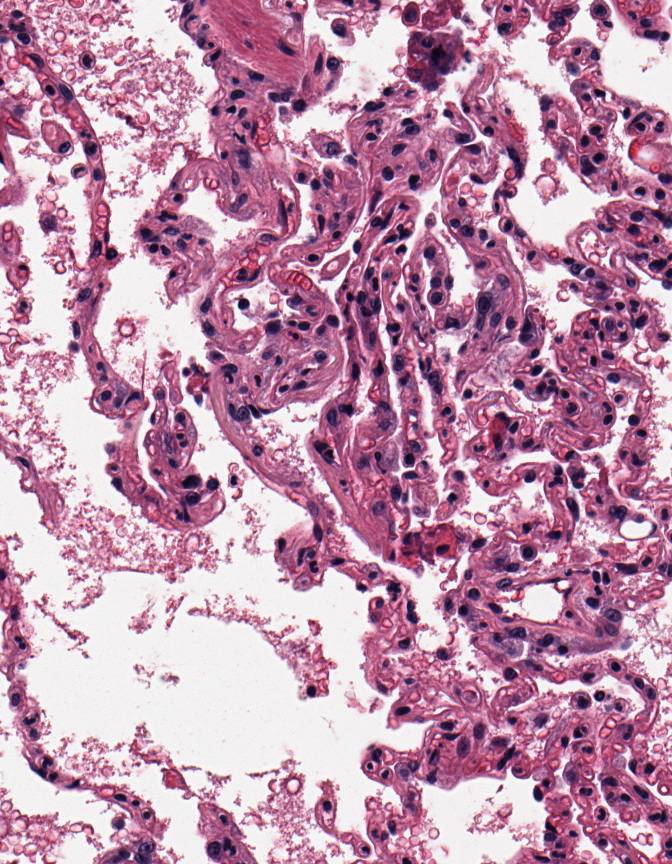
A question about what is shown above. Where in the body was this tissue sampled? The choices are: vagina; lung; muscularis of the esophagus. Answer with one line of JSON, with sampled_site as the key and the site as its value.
{"sampled_site": "lung"}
